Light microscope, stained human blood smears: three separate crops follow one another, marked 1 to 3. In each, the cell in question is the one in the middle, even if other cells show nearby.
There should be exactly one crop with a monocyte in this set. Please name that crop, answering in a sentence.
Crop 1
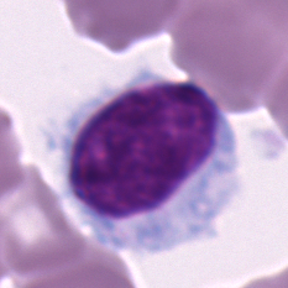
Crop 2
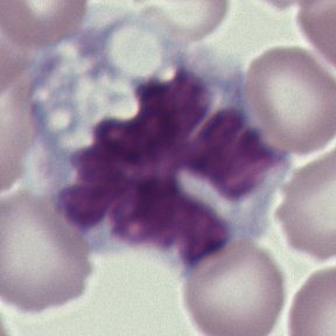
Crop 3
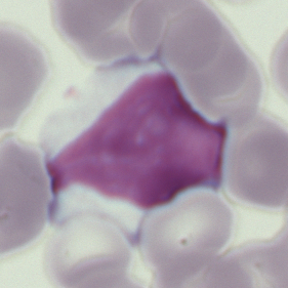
Crop 2 is the one that shows a monocyte.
